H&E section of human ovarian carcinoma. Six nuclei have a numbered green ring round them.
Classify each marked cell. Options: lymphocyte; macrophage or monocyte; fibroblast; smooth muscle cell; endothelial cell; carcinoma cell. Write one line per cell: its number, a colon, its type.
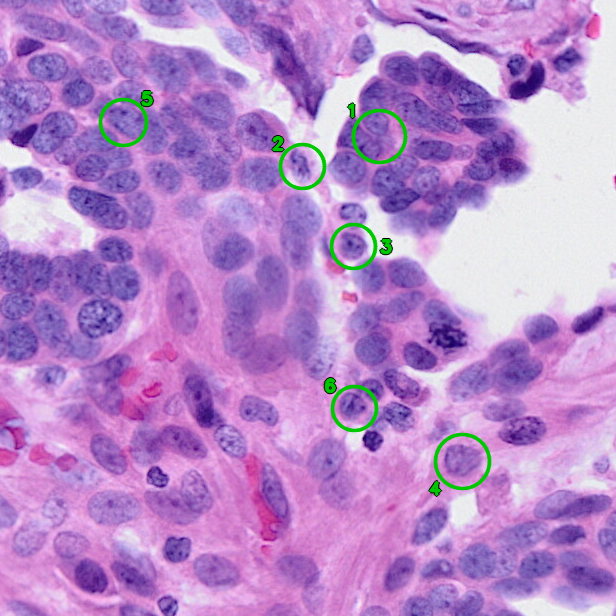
1: carcinoma cell
2: macrophage or monocyte
3: macrophage or monocyte
4: fibroblast
5: carcinoma cell
6: macrophage or monocyte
